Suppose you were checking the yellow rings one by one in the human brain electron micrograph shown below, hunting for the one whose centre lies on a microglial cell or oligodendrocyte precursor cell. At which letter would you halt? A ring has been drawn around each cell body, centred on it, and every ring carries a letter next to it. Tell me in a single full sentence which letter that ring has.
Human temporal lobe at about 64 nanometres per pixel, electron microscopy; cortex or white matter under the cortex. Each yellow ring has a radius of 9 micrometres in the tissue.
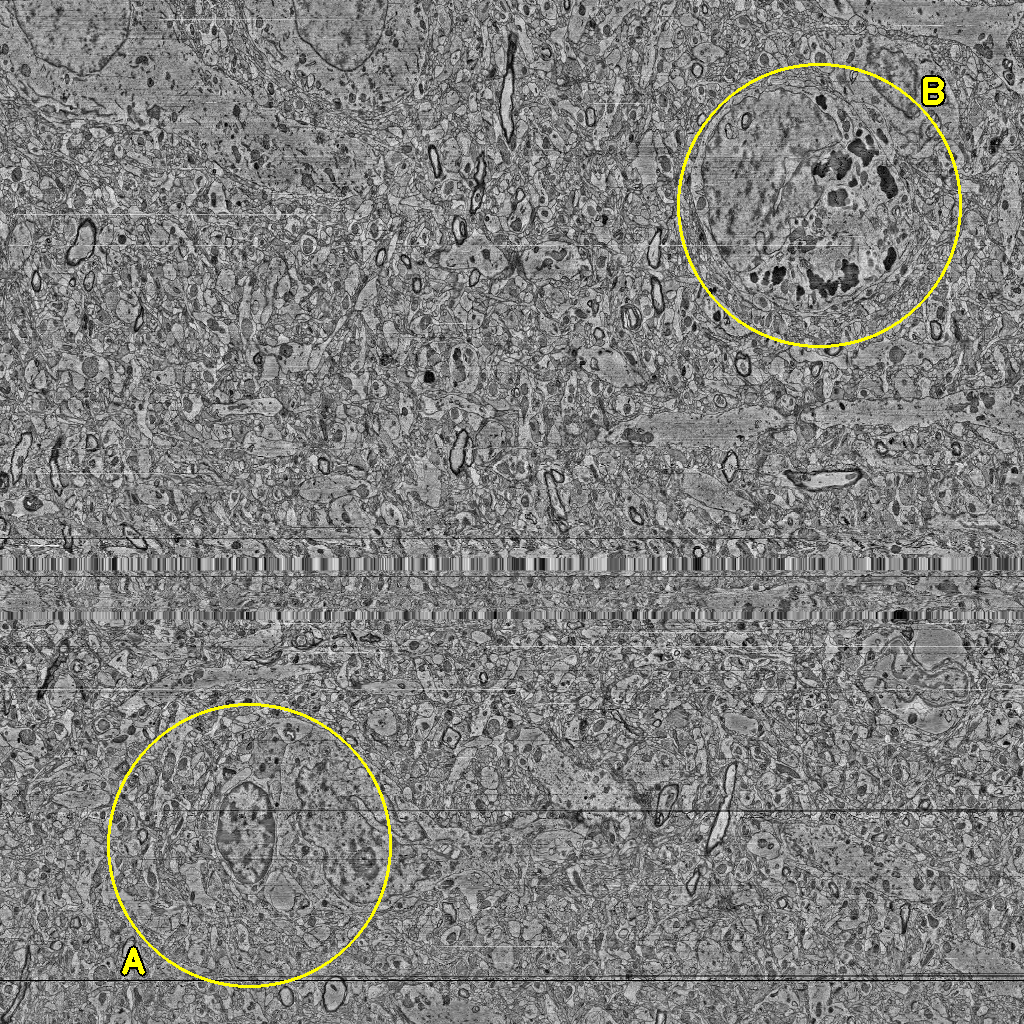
Going through the rings, I would stop at ring A, the one centred on the cell asked for.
